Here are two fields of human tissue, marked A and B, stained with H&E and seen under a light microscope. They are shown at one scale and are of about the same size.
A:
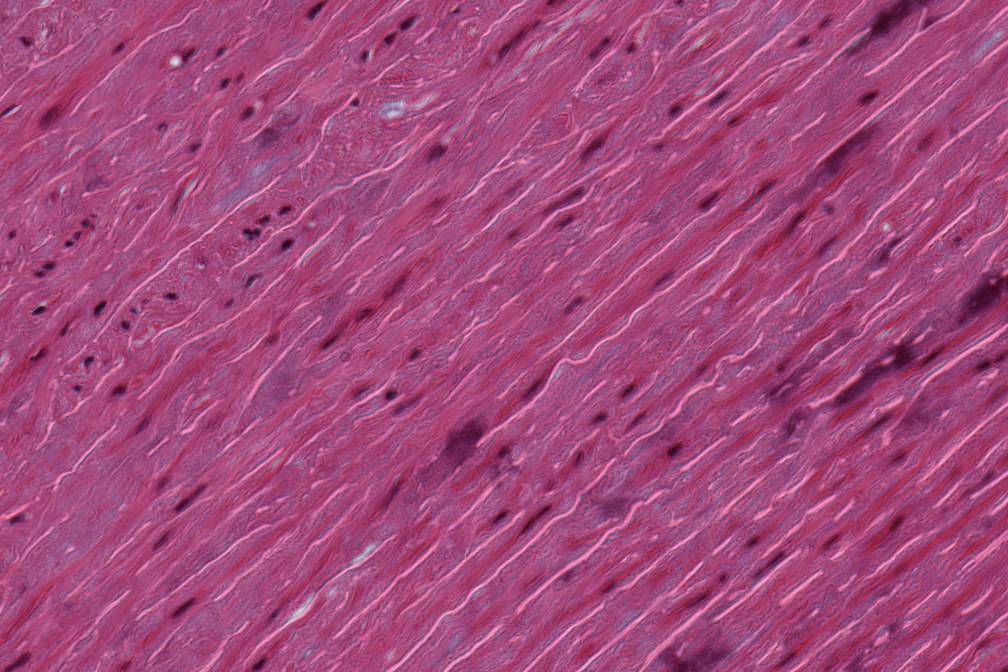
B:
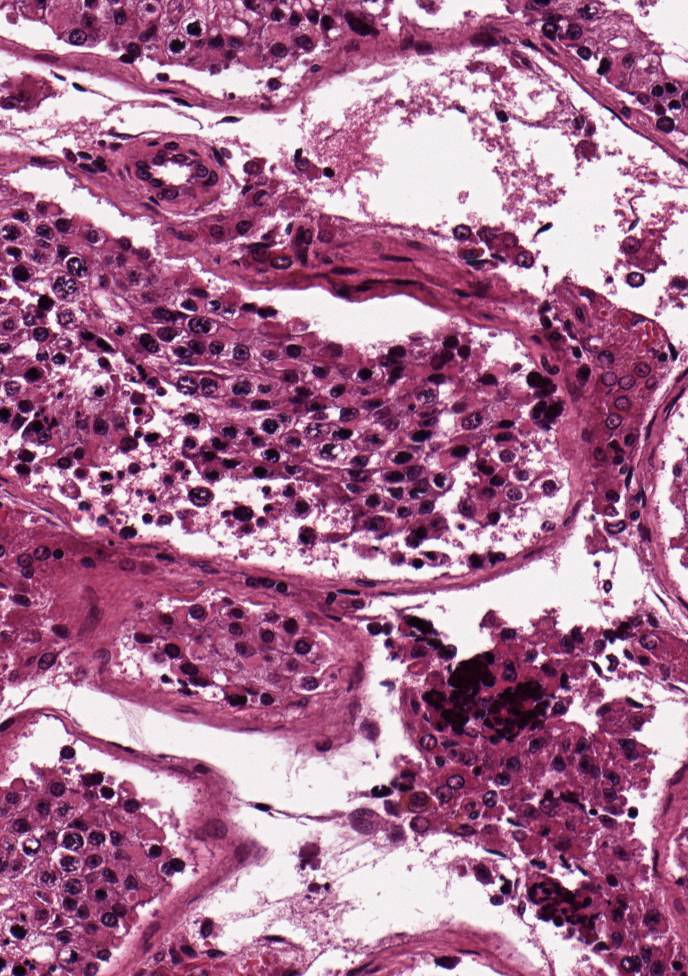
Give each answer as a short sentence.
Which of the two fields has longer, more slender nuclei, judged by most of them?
Longer, more slender nuclei lie in picture A.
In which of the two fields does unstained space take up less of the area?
Less of picture A is empty and white.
